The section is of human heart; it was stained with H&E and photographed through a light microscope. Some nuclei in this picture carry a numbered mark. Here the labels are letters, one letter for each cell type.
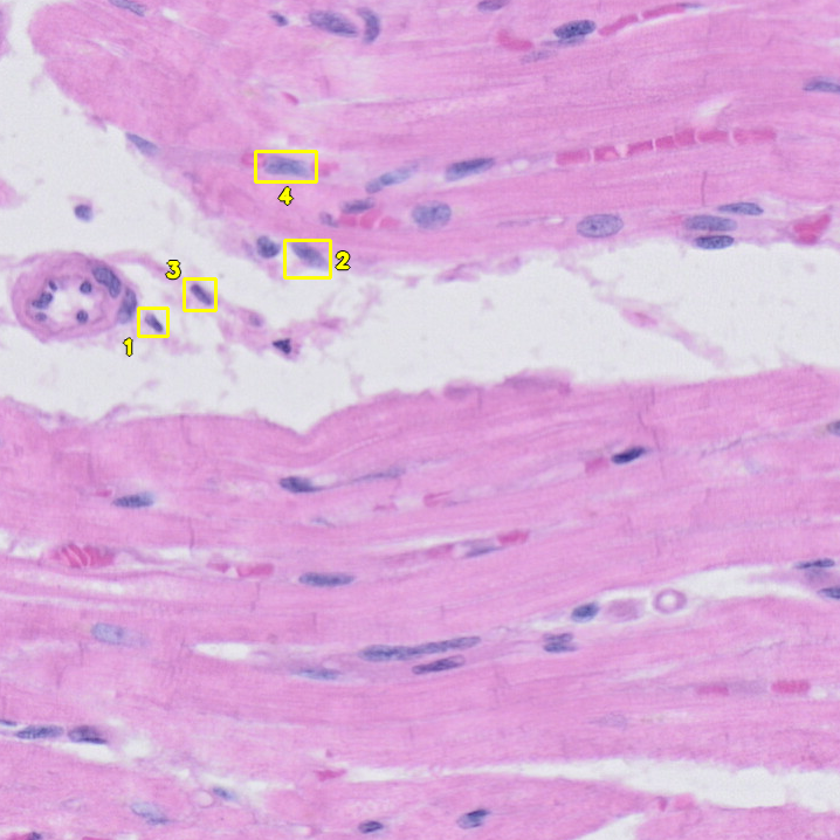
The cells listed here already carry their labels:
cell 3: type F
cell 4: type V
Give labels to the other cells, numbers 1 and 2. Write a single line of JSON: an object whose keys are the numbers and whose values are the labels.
{"1": "type F", "2": "type F"}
